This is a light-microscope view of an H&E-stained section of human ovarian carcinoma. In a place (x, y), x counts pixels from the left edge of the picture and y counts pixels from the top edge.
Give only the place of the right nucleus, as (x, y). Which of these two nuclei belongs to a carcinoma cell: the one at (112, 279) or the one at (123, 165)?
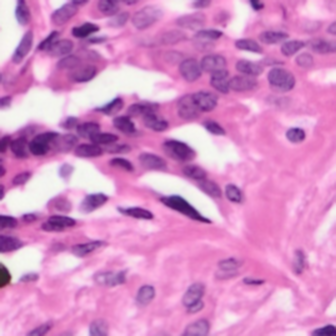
(123, 165)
